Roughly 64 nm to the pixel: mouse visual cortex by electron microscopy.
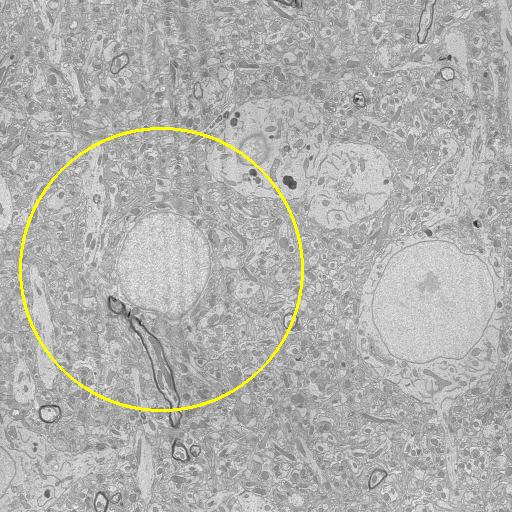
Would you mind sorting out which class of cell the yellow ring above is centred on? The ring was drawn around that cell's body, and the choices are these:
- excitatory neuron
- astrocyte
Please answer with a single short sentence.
This is the cell body of an astrocyte.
